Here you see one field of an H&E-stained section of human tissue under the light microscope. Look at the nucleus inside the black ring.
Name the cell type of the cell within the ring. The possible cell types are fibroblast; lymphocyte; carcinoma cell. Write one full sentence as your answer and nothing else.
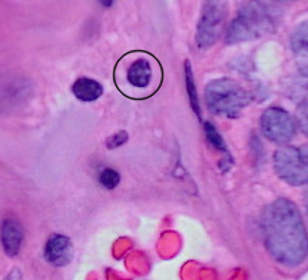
At the level of cell identity, the cell within the ring is a lymphocyte.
